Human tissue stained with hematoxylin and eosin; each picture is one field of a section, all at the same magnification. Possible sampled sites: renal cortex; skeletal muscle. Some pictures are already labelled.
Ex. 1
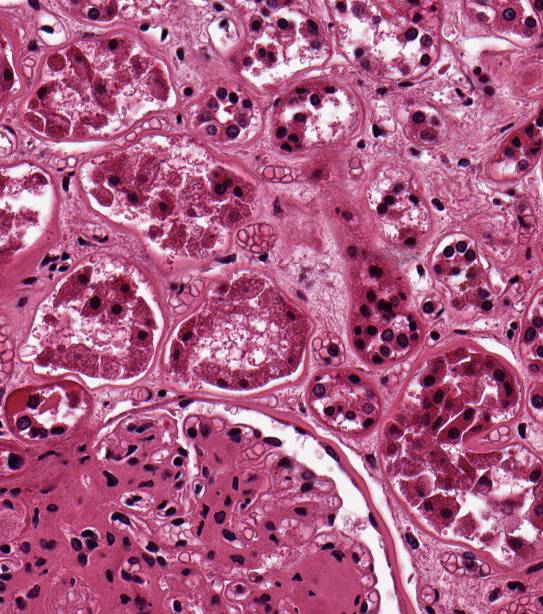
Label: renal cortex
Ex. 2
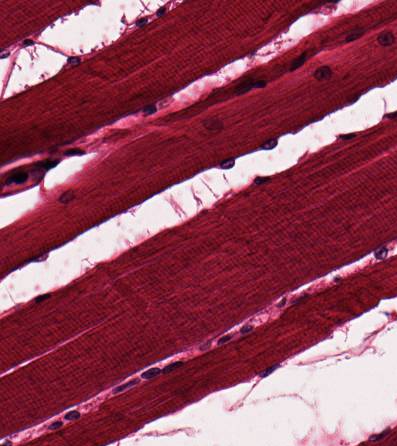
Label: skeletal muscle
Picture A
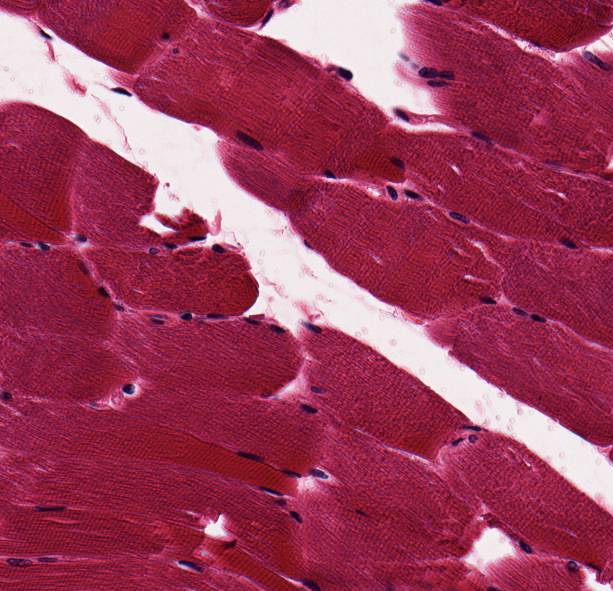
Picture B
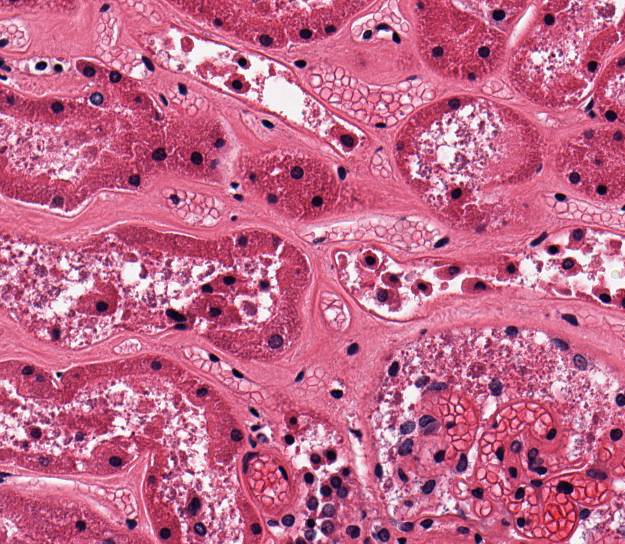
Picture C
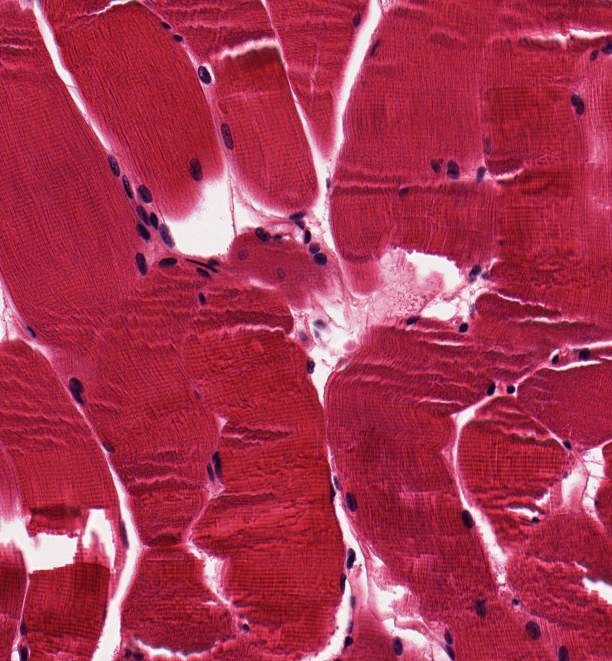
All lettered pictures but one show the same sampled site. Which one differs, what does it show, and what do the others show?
B: renal cortex; all the others: skeletal muscle.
